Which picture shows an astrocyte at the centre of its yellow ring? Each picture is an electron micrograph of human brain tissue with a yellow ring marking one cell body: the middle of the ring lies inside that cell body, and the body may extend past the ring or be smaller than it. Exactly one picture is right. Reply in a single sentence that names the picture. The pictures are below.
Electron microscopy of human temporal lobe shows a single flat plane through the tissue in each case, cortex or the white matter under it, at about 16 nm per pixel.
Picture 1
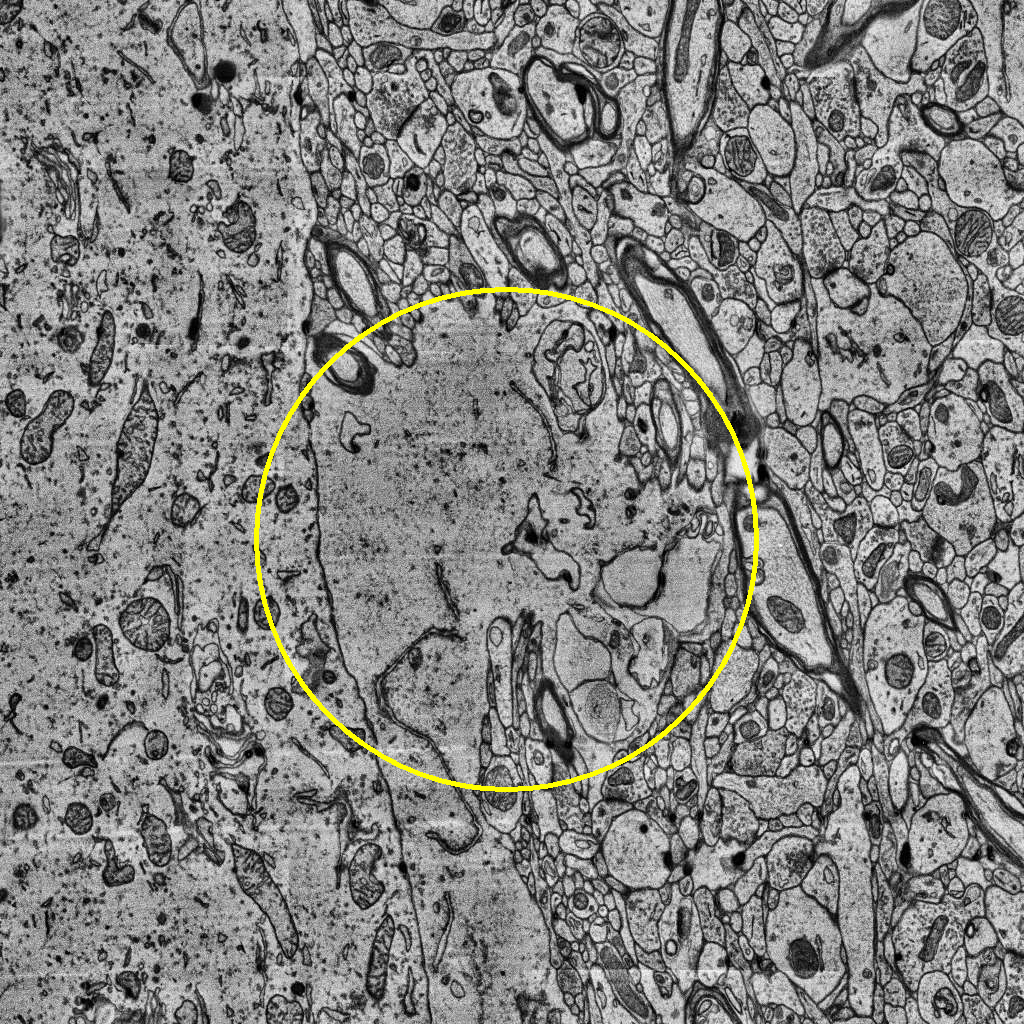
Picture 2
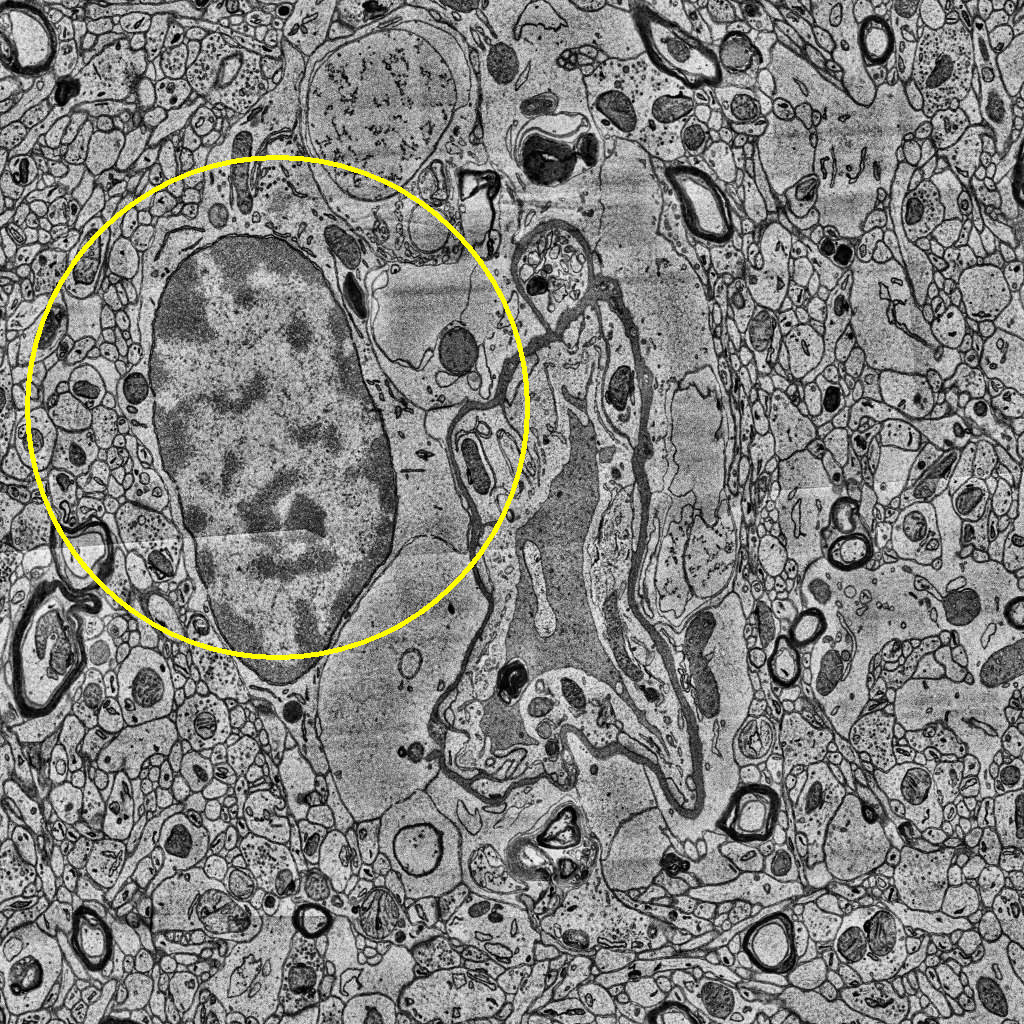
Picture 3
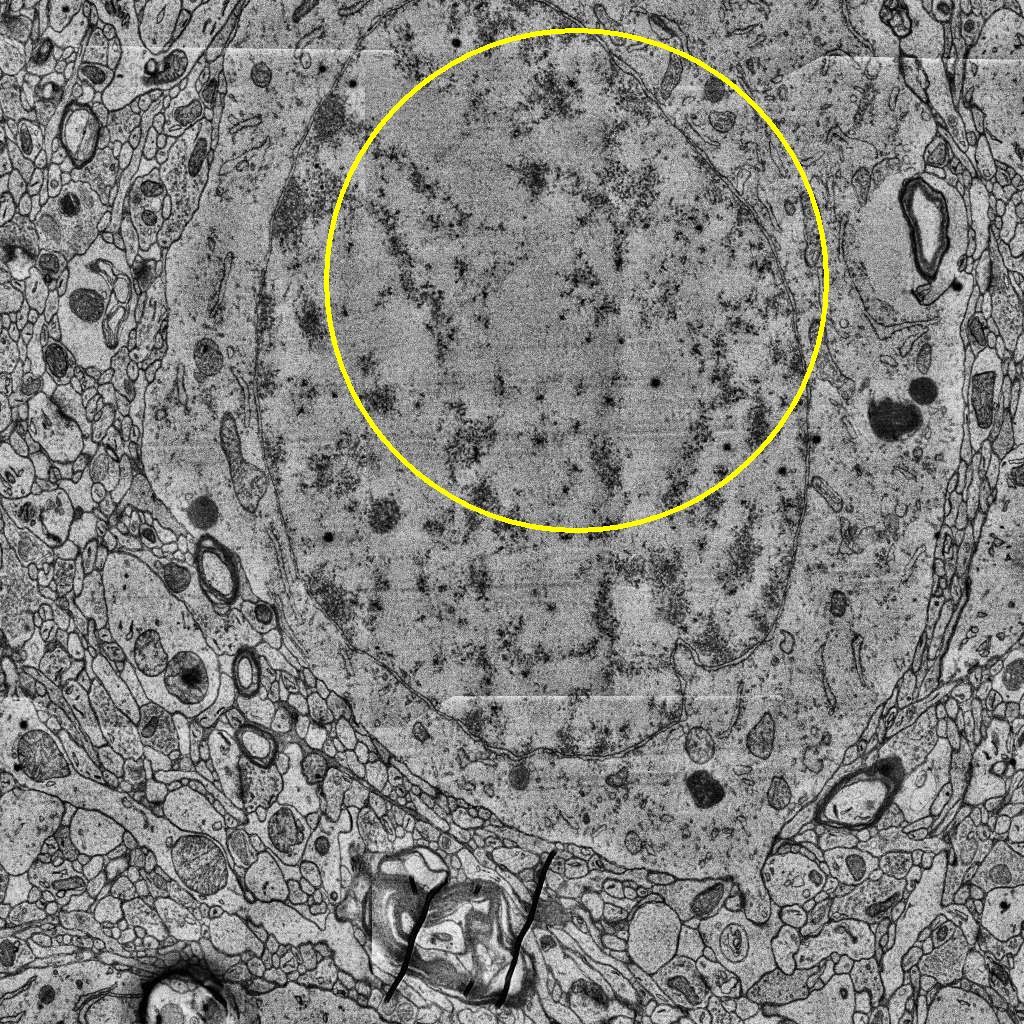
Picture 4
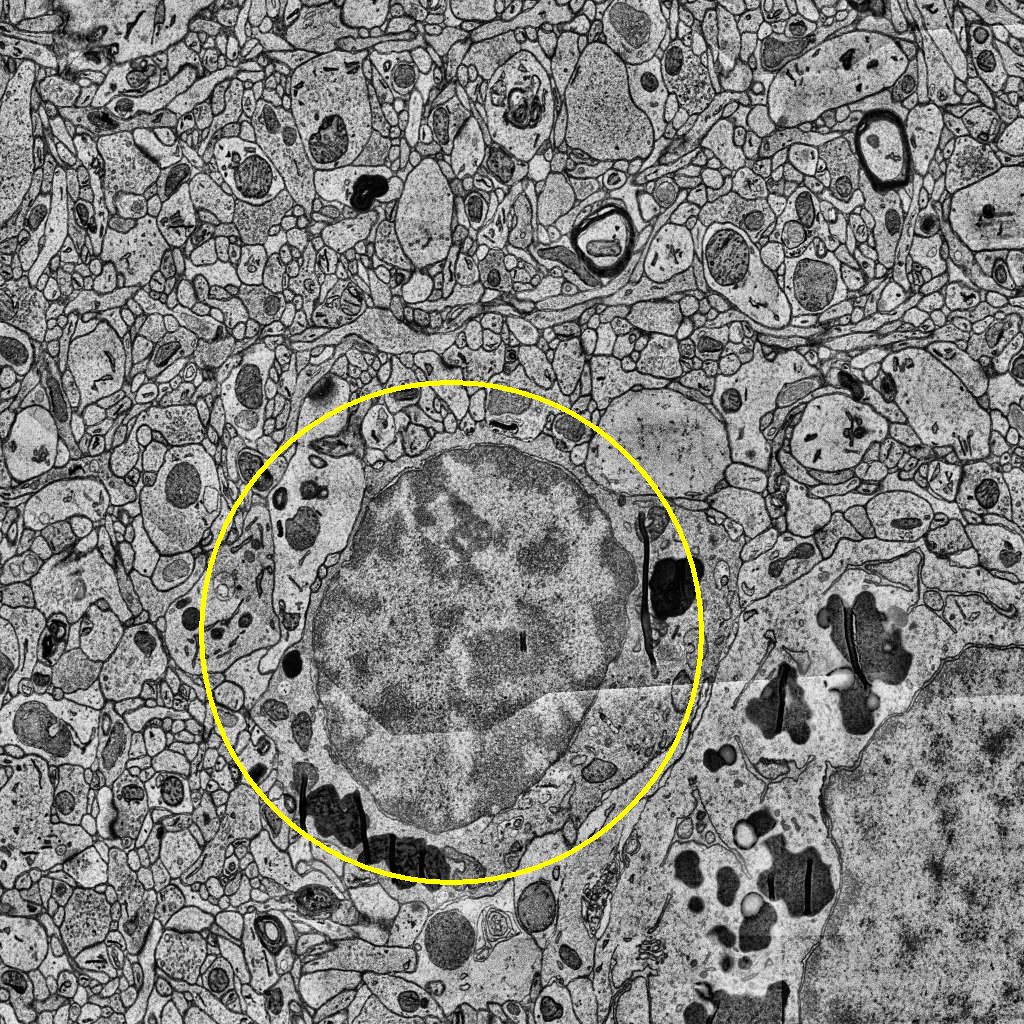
Picture 1 shows it.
